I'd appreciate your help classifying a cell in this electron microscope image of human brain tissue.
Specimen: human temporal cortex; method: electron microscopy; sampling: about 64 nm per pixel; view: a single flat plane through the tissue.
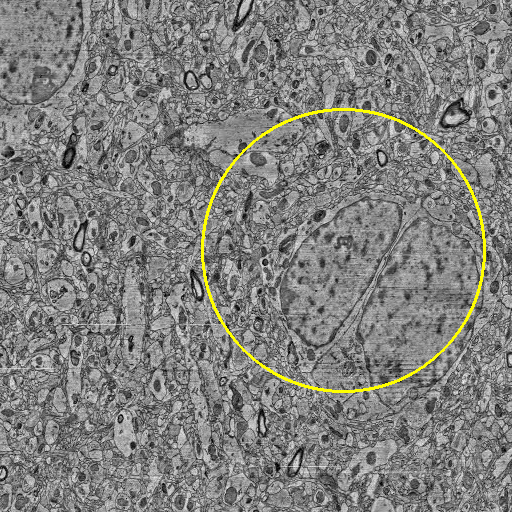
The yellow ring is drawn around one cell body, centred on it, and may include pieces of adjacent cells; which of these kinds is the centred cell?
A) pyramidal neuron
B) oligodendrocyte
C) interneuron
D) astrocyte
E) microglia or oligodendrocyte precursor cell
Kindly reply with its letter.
E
